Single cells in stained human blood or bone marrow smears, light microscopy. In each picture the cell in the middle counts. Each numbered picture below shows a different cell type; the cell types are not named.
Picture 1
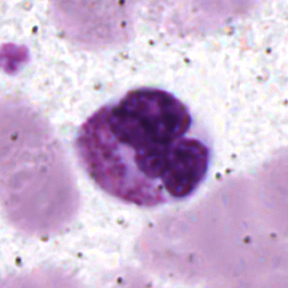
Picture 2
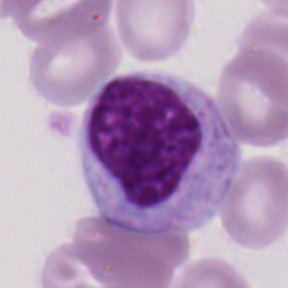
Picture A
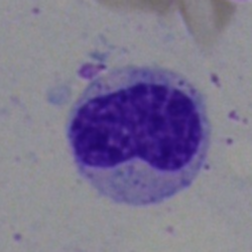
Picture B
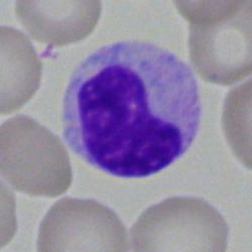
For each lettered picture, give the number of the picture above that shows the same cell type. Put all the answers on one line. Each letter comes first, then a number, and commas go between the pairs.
A 2, B 2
